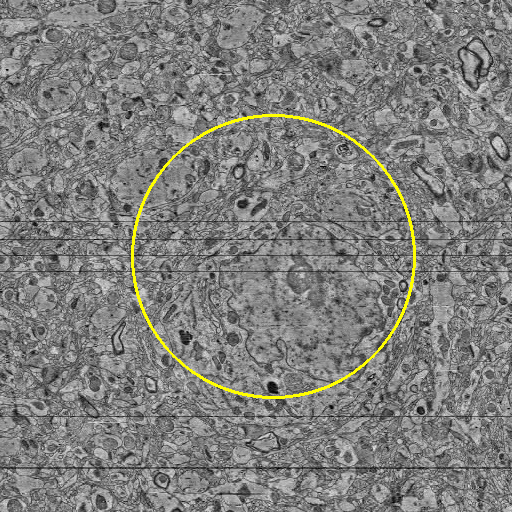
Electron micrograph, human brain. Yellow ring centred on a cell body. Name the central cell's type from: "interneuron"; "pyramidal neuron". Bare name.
interneuron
